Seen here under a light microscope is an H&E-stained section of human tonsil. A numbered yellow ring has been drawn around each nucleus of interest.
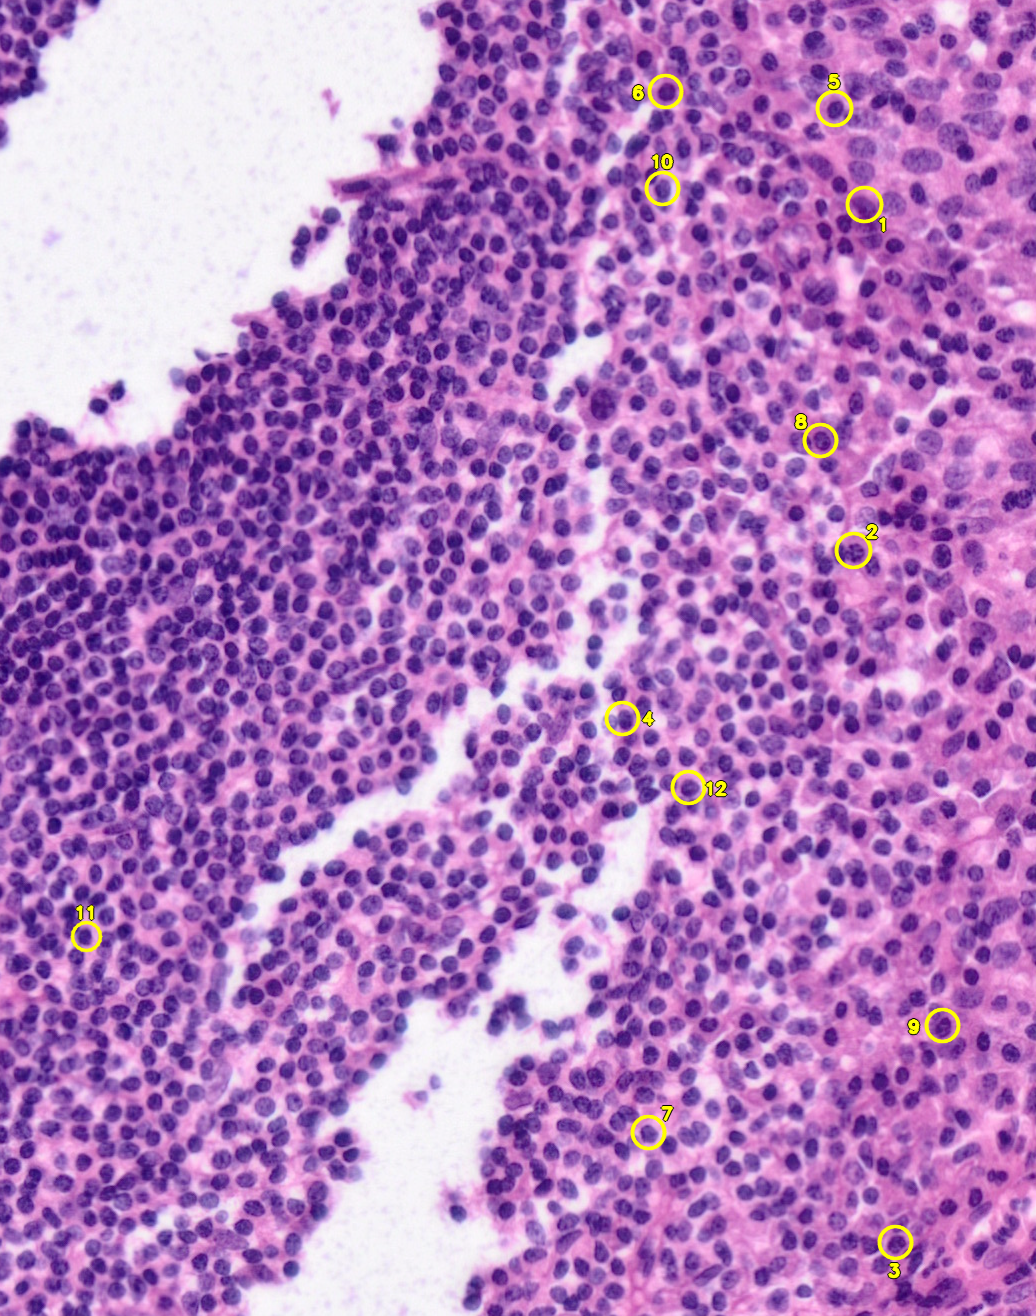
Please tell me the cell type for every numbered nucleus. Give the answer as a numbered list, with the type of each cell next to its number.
1. squamous epithelial cell
2. plasma cell
3. plasma cell
4. small lymphocyte
5. plasma cell
6. plasma cell
7. small lymphocyte
8. plasma cell
9. plasma cell
10. small lymphocyte
11. small lymphocyte
12. small lymphocyte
